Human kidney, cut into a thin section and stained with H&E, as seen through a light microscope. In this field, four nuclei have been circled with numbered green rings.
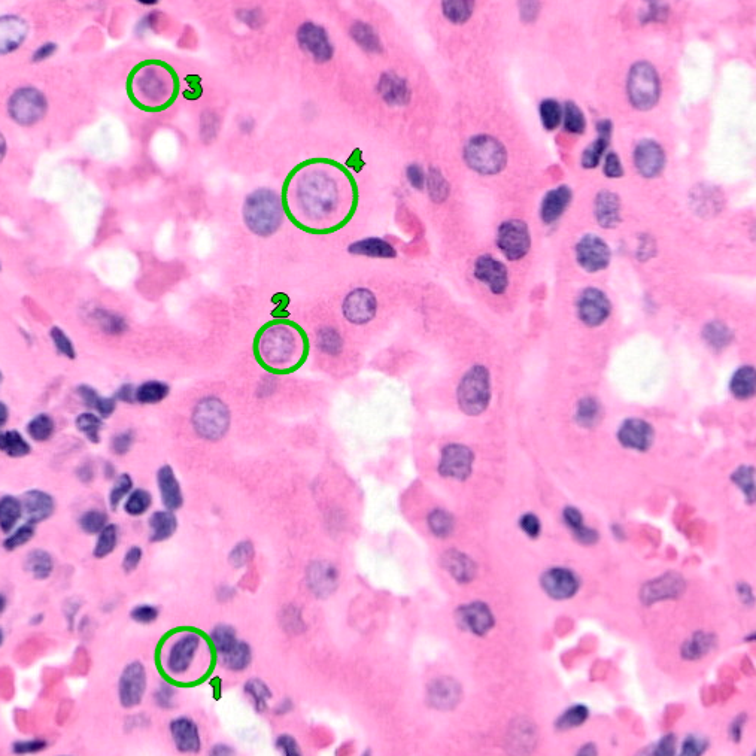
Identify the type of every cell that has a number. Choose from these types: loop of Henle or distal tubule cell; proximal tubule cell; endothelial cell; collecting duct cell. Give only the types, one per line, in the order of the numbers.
collecting duct cell
proximal tubule cell
proximal tubule cell
proximal tubule cell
